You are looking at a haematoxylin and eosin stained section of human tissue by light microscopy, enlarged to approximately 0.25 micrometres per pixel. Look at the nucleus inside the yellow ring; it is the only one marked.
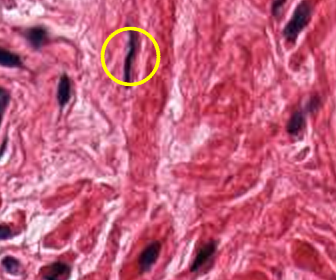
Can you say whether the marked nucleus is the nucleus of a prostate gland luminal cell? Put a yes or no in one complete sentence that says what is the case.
No, the marked nucleus lies within a supporting cell, not within a prostate gland luminal cell.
